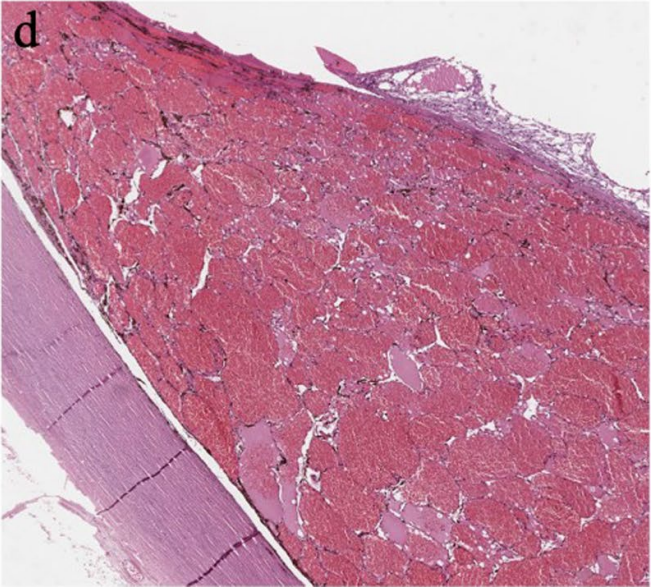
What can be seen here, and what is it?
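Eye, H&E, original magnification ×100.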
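A mass made of many large, rounded, dilated spaces separated by thin pale septa, each space packed with bright red material and some with paler pink homogeneous deposits; it lies against a band of dense, layered pink tissue along one edge. These are cavernous vascular spaces filled with red blood cells, the picture of a choroidal hemangioma.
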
